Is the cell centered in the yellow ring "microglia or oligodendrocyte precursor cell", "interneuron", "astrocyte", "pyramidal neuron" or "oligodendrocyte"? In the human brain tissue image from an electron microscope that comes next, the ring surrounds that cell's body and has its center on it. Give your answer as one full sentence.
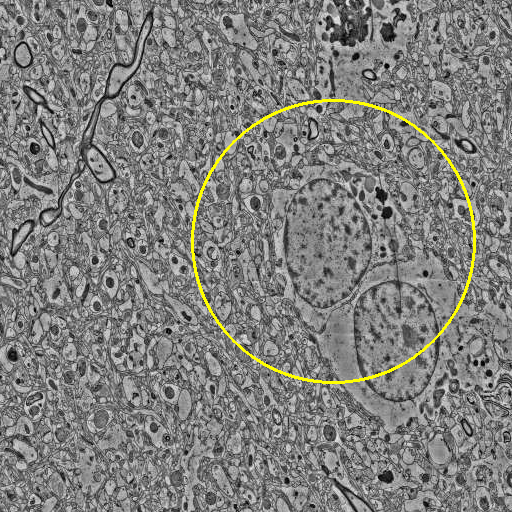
The cell at the center of the yellow ring is an astrocyte in the micrograph.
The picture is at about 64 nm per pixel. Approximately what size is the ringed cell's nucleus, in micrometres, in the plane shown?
Roughly 8 by 6 micrometres is the size of the nucleus in this plane.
